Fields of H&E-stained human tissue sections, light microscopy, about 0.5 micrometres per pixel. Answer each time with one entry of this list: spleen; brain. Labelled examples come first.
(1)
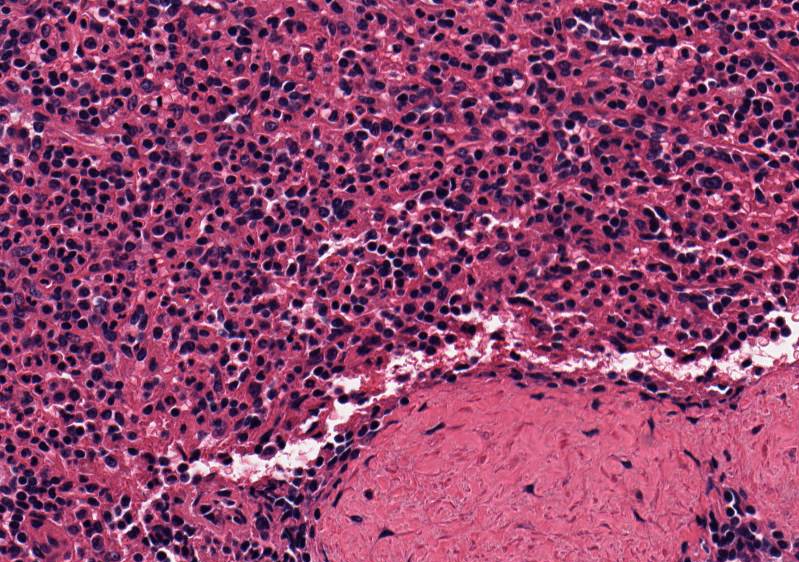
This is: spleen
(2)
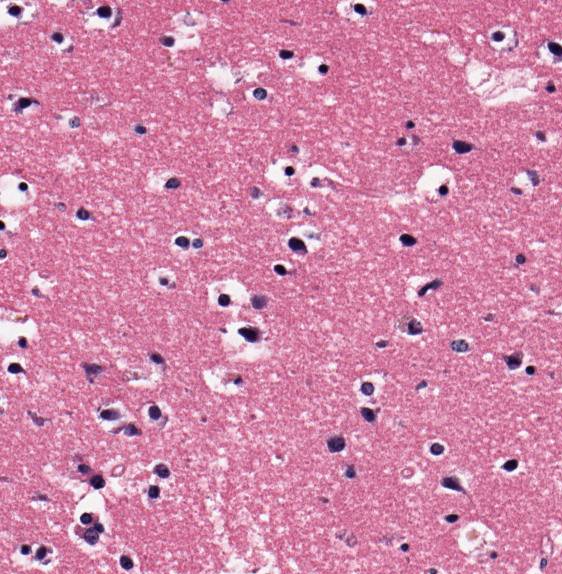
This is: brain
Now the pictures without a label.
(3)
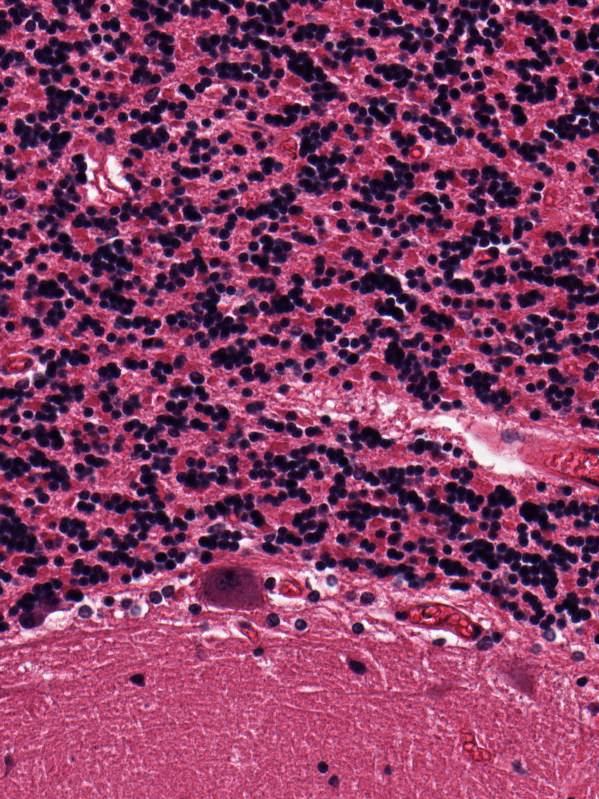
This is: brain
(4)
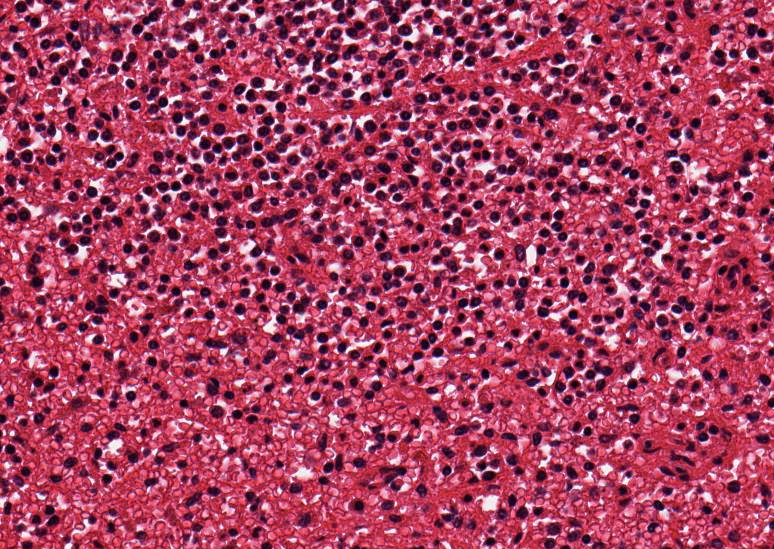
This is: spleen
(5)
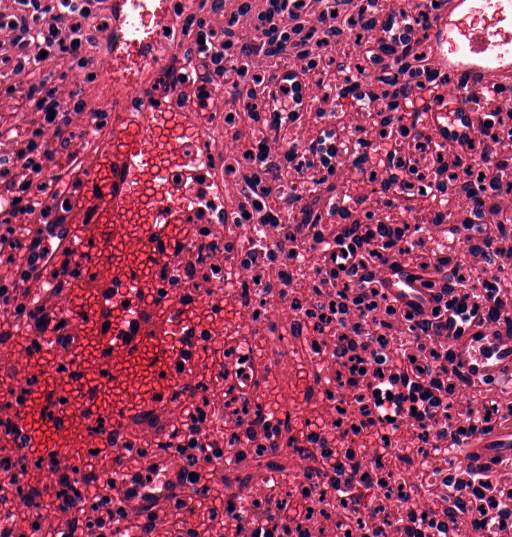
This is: spleen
